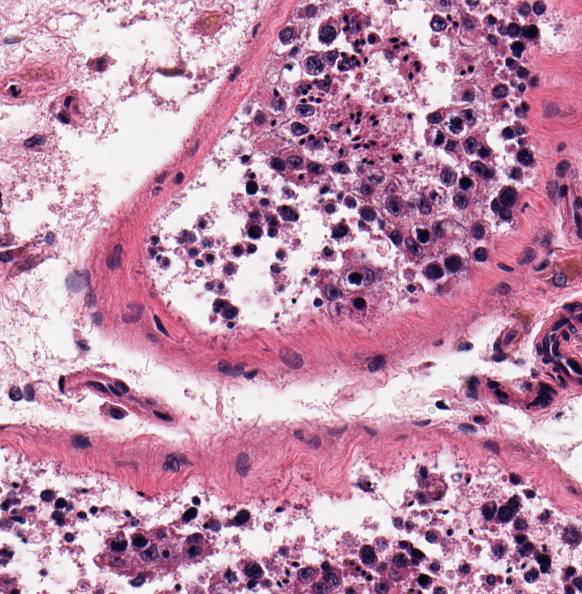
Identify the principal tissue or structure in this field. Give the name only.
seminiferous tubule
